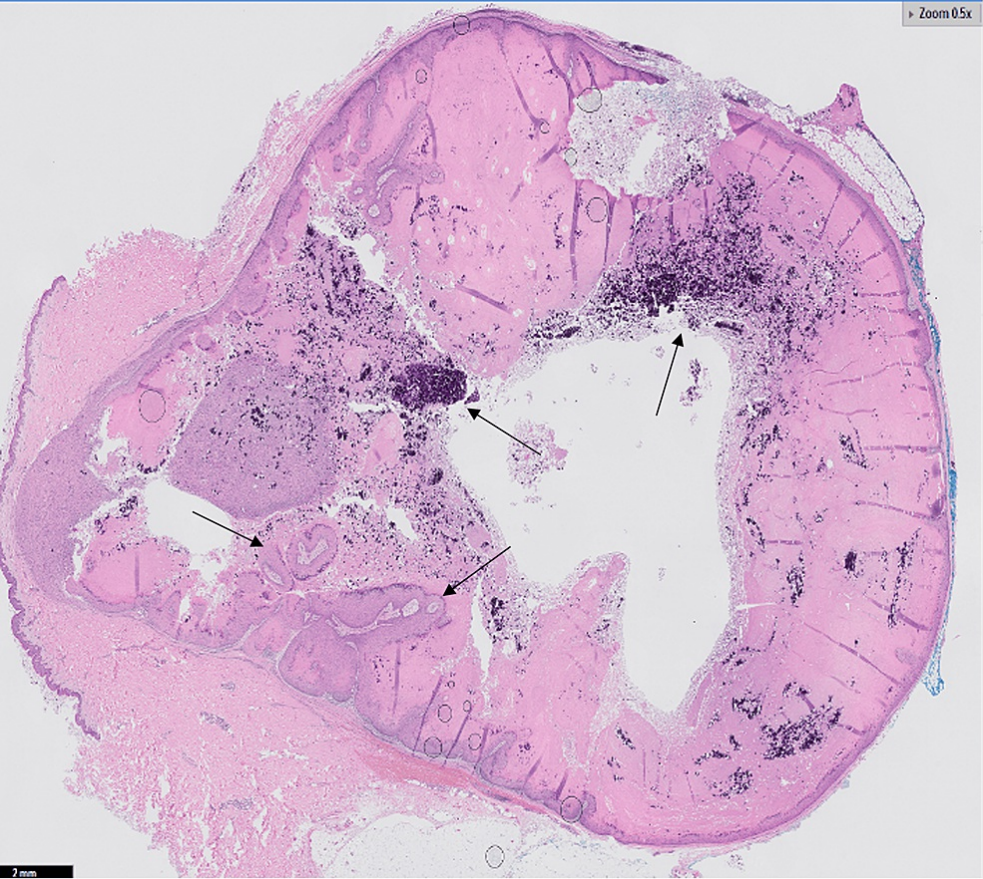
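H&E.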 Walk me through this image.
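Low-power view of a cyst in the skin, lined by thickened squamous epithelium that forms papillary folds, most clearly at the lower left. The cavity is filled with pink laminated keratin broken by radial clefts, with scattered clumps of dark purple granular material, and a large empty space is at the centre. Loose pale connective tissue surrounds the cyst wall.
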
